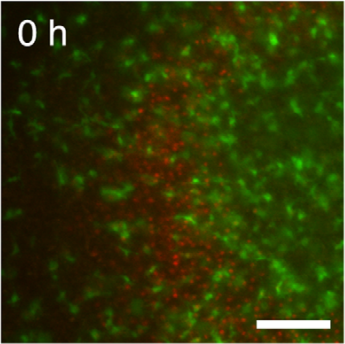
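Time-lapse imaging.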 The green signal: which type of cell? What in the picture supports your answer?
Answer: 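Many green cells have small bodies with short branching processes.
Answer: microglia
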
